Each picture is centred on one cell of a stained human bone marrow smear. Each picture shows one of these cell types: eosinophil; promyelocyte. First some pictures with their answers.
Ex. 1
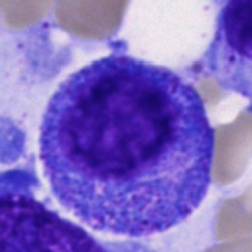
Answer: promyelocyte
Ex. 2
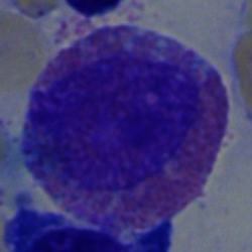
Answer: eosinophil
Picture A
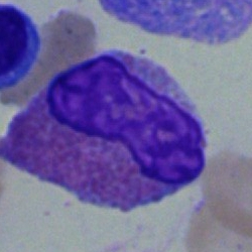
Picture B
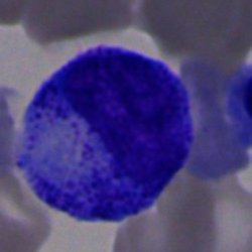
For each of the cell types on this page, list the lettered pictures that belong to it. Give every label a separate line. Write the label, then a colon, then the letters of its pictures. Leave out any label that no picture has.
eosinophil: A
promyelocyte: B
